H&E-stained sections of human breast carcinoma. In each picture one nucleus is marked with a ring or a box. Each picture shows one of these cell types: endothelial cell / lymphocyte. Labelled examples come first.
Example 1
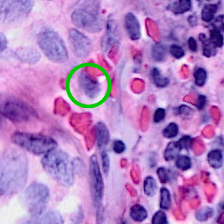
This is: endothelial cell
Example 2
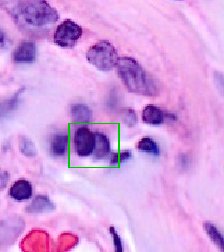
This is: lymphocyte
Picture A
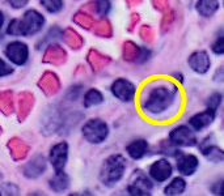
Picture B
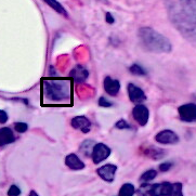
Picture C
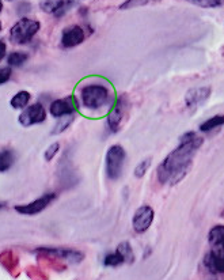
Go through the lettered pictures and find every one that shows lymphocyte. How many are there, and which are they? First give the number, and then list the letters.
Count: 2 (A, C)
